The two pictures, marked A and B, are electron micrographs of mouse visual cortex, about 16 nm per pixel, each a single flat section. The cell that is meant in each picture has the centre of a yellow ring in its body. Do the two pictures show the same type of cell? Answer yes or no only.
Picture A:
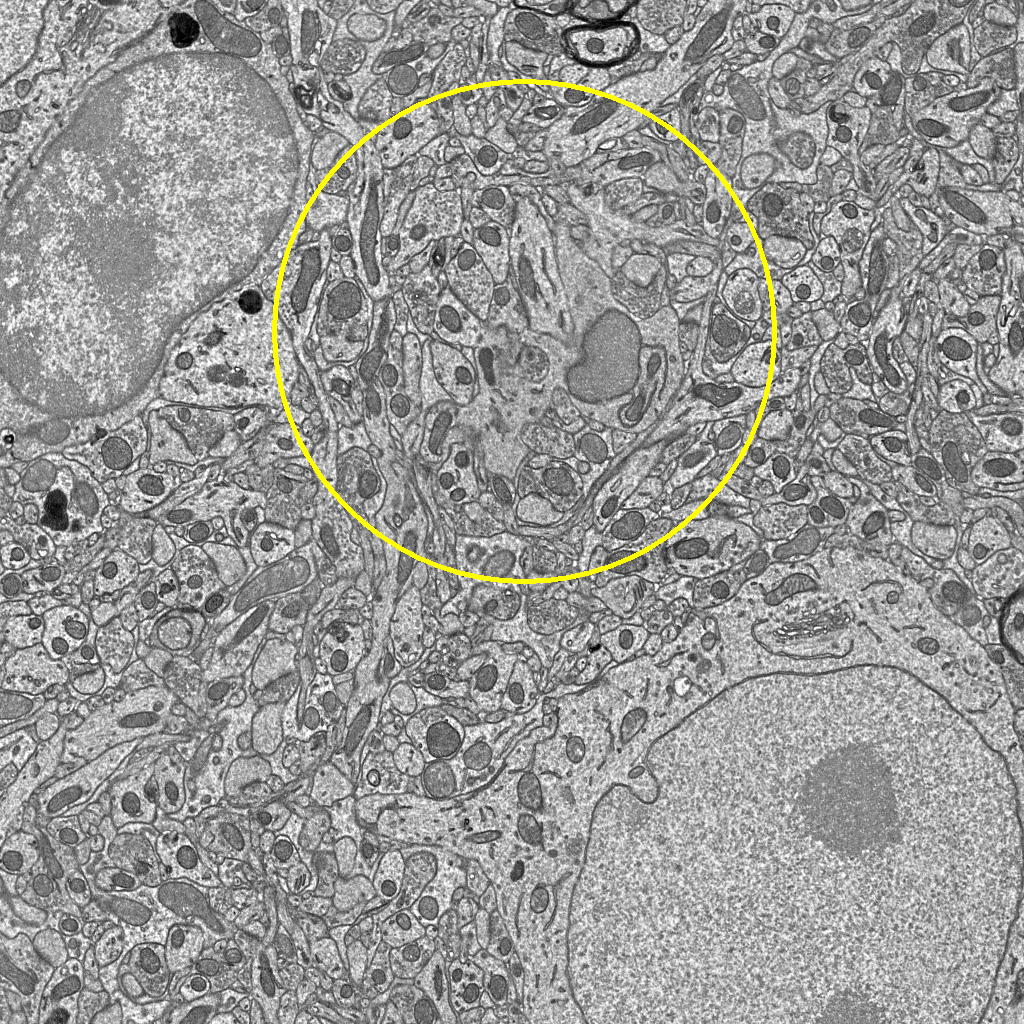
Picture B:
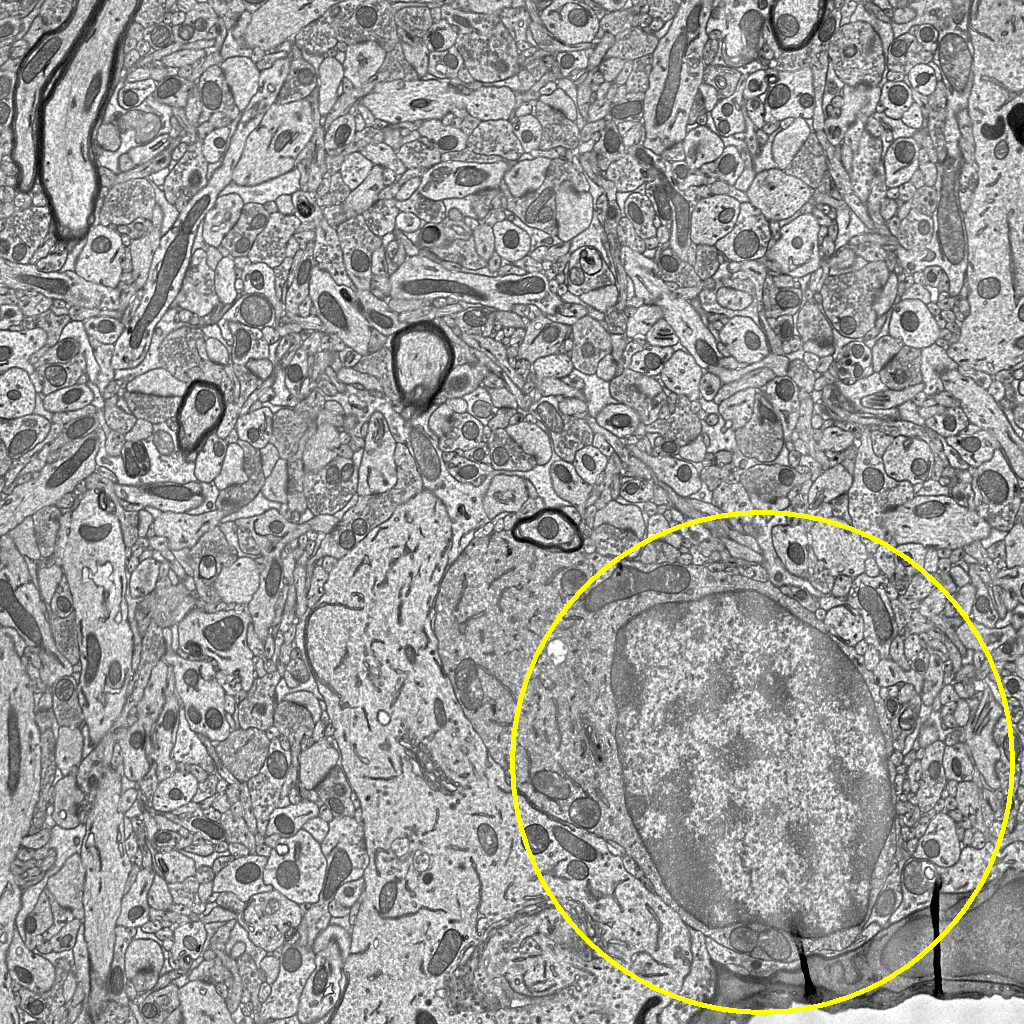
no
